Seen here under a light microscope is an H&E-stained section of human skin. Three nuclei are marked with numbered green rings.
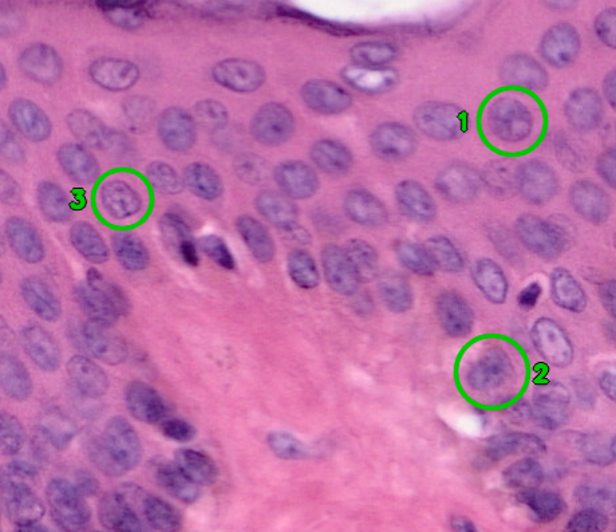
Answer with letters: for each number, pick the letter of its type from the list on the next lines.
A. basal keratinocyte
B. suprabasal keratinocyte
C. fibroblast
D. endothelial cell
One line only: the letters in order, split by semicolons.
B; A; B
